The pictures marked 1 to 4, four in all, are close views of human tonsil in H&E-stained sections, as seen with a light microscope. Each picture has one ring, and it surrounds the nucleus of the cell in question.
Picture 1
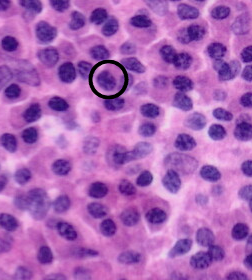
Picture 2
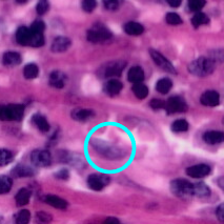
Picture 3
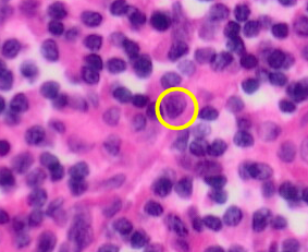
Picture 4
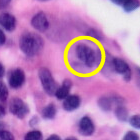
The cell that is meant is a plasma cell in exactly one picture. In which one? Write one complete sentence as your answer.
The picture with the plasma cell is 1.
